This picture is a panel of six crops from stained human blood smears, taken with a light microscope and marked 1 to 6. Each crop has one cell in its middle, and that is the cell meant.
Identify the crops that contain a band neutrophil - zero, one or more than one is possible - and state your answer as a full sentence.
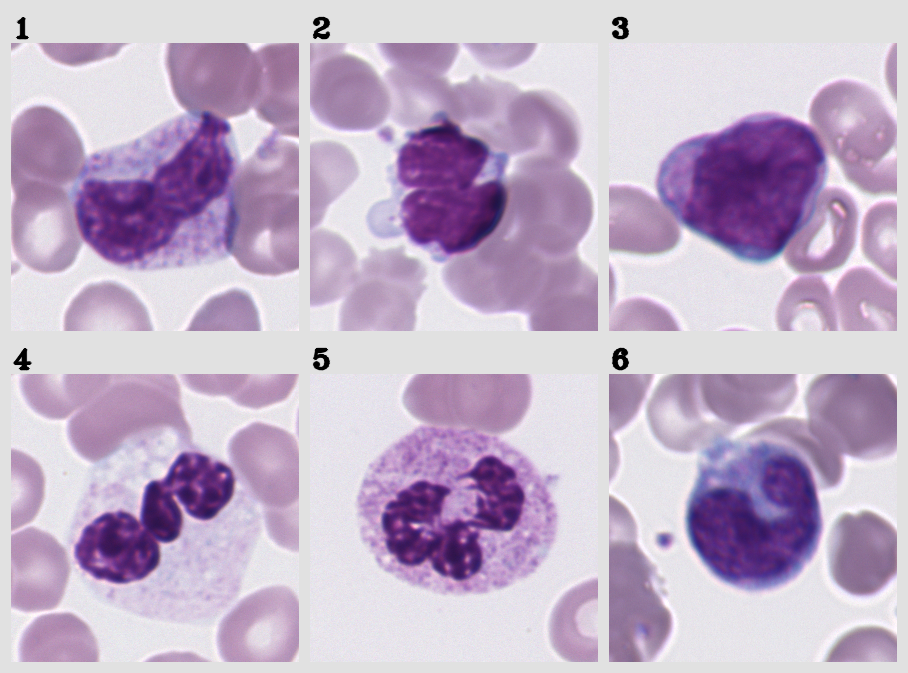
No crop except crop 1 shows a band neutrophil.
